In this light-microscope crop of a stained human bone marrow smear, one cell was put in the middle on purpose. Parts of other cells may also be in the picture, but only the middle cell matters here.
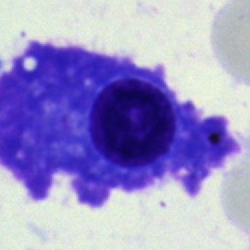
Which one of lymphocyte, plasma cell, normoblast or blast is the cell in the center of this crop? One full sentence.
In the center of this field lies a plasma cell.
